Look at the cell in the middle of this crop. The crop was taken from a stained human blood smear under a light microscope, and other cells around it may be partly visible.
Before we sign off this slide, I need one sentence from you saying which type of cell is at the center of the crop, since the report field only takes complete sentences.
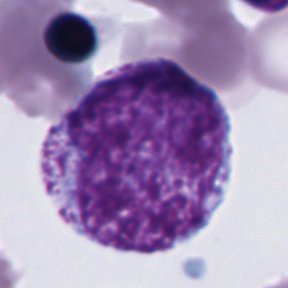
The cell of interest, located centrally, is a promyelocyte.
